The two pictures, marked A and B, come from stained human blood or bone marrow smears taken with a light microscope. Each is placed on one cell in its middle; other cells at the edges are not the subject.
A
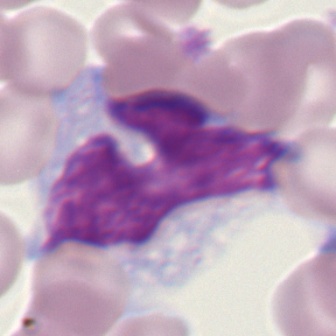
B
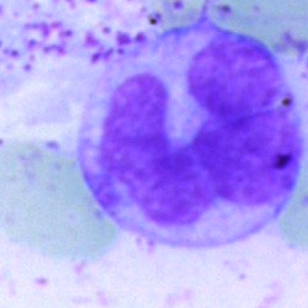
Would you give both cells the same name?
yes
